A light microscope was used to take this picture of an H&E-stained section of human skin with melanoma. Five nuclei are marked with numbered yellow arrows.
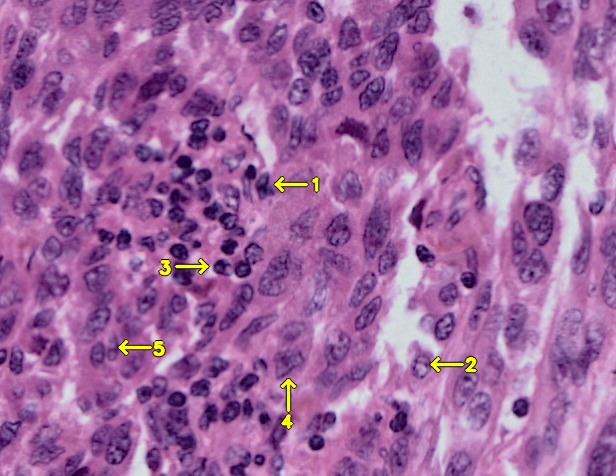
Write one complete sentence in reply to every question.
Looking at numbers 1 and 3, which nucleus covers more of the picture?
Number 1 is larger; its area is about 1.5 times that of number 3.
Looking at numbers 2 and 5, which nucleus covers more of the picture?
Of the two, number 2 is bigger and takes up about 1.5 times the area of number 5.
